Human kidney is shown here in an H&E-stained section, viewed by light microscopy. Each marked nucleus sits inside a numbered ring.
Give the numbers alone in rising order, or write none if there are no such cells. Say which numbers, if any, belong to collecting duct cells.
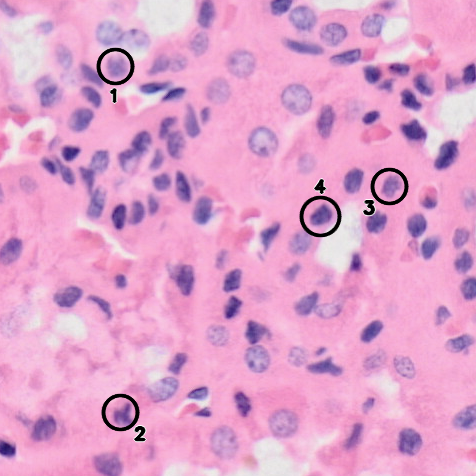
1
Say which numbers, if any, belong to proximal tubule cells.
2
